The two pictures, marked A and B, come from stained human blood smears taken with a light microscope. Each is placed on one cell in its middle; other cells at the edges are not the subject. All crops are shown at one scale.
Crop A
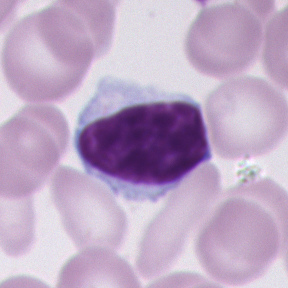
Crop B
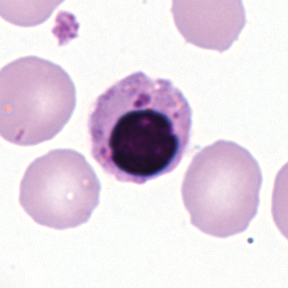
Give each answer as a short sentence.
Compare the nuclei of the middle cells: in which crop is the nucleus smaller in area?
Crop B shows the smaller nucleus, since that in crop A covers about 2.5 times as much area.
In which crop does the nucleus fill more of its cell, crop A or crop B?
In crop A the nucleus takes up the larger part of its cell.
